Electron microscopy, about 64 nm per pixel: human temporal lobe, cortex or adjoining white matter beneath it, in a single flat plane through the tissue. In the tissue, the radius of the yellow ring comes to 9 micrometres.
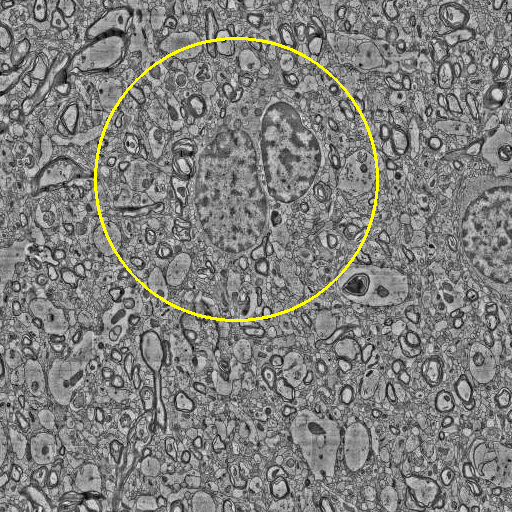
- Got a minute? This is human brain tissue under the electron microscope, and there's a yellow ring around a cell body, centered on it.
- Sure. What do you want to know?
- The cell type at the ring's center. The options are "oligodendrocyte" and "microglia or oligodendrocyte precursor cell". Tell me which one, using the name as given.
oligodendrocyte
